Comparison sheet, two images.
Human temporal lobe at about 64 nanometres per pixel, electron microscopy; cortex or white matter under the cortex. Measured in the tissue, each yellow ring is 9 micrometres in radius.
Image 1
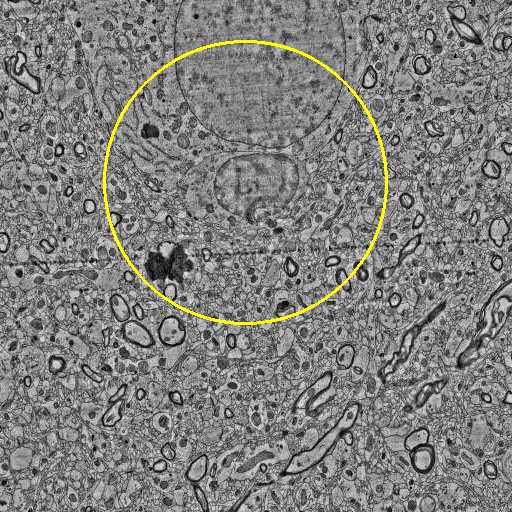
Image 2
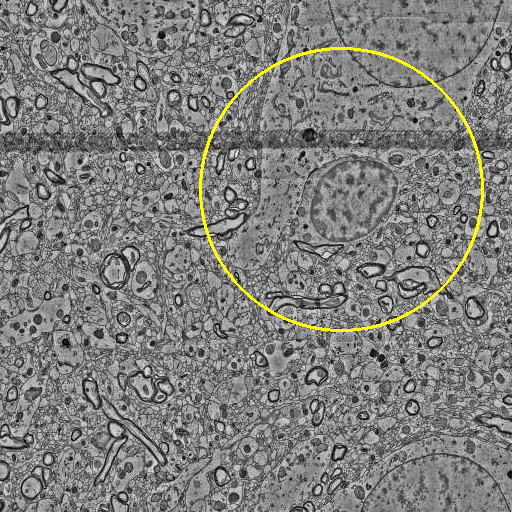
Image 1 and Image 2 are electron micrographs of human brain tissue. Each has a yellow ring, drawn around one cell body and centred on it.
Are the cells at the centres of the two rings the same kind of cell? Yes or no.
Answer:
yes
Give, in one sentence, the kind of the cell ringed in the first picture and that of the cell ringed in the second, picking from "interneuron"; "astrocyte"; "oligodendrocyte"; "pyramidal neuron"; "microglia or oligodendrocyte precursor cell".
In each of the two pictures, the ringed cell is an oligodendrocyte.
